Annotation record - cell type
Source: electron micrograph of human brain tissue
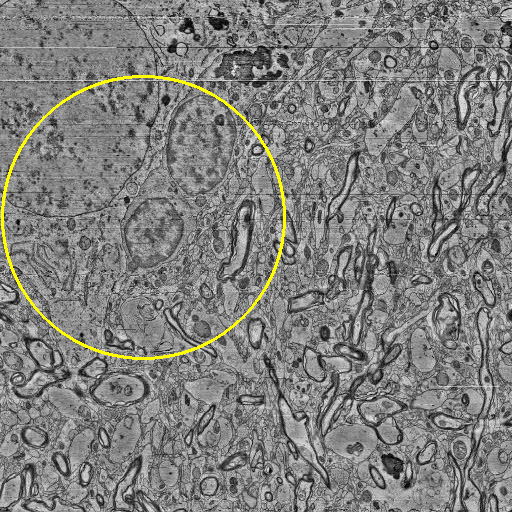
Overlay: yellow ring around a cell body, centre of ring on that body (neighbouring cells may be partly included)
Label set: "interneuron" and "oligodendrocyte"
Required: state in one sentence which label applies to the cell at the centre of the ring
This cell should be labelled as an oligodendrocyte.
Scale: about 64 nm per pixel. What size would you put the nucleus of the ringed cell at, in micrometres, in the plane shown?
About 5 by 4 micrometres in this plane.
